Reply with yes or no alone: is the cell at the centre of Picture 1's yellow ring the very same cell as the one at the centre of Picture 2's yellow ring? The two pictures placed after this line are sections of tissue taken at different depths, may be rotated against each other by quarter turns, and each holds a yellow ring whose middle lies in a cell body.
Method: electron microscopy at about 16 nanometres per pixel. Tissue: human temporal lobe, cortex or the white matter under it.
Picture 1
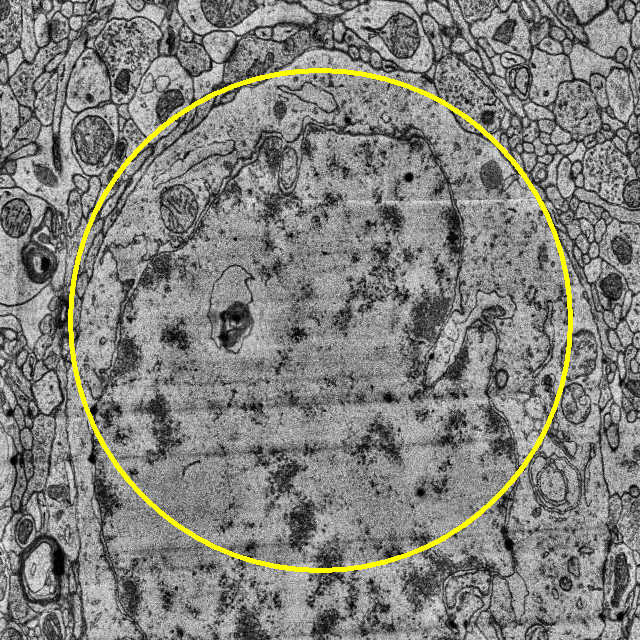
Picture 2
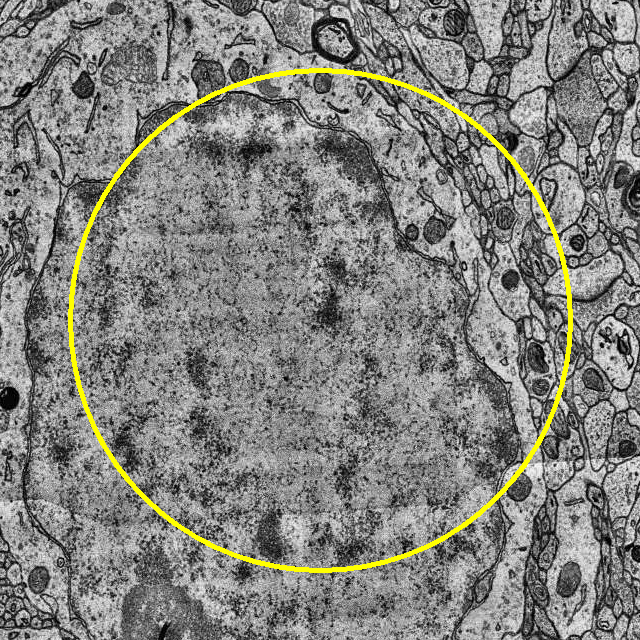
no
